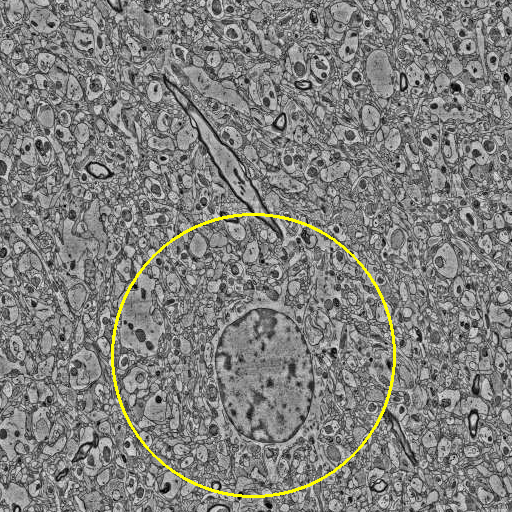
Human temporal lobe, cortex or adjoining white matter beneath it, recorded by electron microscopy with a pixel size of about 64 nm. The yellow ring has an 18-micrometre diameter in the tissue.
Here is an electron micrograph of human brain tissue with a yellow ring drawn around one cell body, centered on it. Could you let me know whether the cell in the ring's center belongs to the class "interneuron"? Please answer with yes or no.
no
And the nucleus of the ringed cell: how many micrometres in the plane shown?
Roughly 9 by 6 micrometres is the size of the nucleus in this plane.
